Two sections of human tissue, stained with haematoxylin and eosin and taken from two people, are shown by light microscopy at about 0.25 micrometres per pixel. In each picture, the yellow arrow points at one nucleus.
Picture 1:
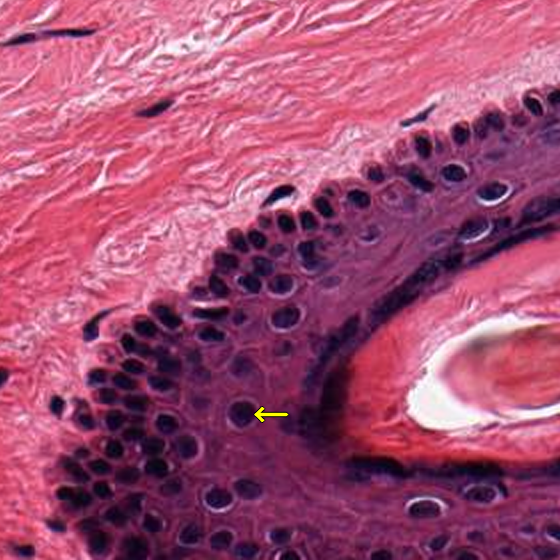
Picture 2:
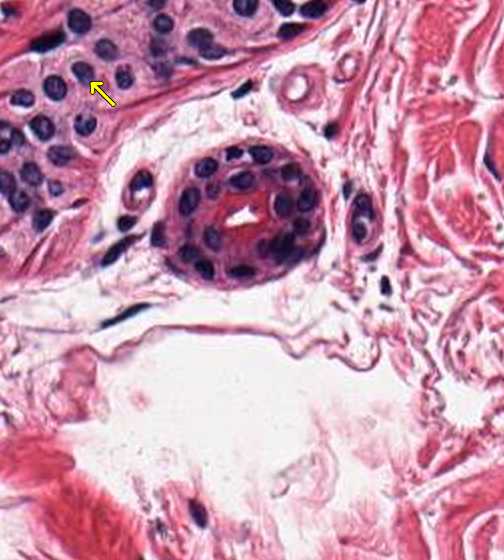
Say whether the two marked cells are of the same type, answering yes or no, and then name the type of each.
No, the first is a keratinocyte and the second a sweat gland cell.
